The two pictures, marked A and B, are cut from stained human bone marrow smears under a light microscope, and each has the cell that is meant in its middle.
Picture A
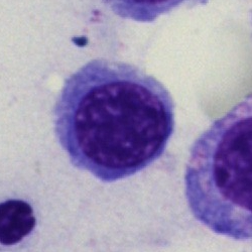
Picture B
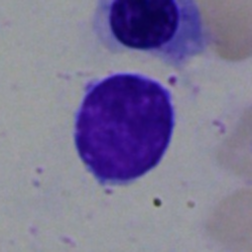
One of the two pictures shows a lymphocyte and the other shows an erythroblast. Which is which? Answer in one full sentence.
The cell in picture A is an erythroblast, and the one in picture B is a lymphocyte.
